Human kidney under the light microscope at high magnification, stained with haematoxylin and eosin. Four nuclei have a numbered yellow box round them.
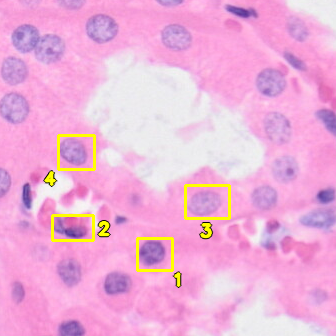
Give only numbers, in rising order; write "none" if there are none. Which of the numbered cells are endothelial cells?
2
